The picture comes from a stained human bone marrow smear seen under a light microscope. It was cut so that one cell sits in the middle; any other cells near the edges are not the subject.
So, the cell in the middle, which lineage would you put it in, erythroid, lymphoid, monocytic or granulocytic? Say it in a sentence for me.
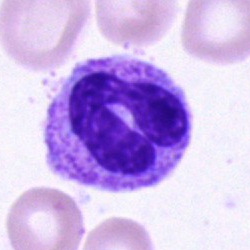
Designated granulocytic in lineage is the cell at the center of the crop.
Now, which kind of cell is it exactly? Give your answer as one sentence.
The cell centred in this crop is categorized as a band neutrophil.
